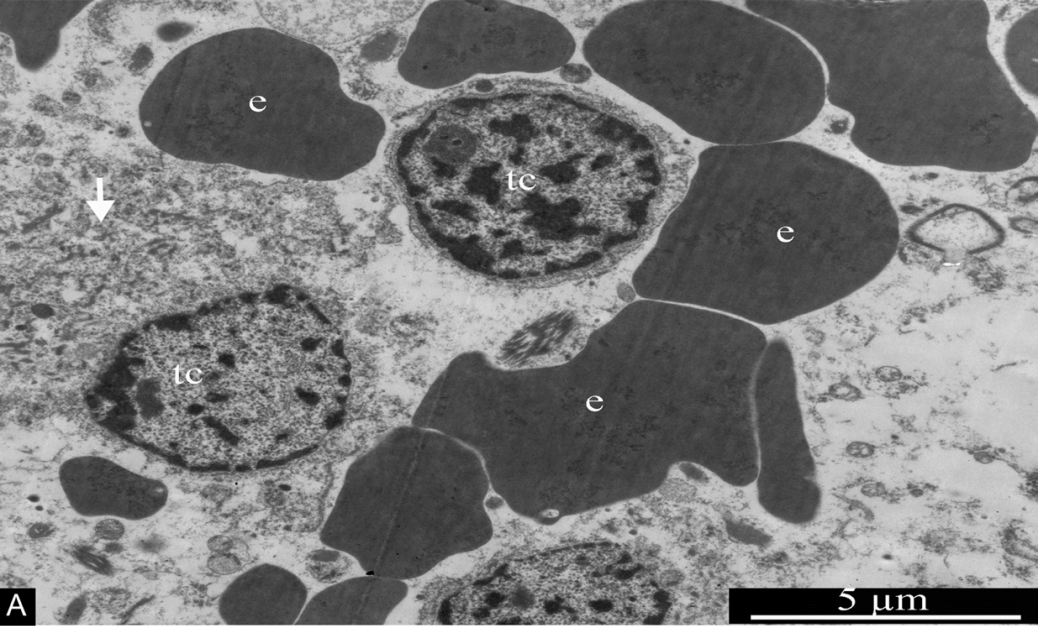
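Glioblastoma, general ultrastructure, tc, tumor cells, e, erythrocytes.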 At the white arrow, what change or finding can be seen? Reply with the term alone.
Necrotic destruction.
